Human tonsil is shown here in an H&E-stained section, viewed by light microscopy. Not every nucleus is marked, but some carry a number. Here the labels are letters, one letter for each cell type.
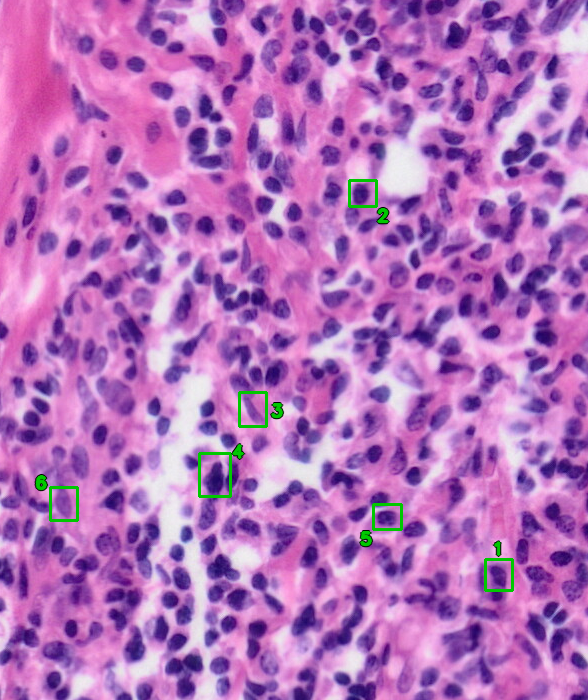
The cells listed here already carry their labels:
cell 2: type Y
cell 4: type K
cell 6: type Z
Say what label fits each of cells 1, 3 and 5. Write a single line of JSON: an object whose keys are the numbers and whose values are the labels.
{"1": "type Z", "3": "type Z", "5": "type Y"}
